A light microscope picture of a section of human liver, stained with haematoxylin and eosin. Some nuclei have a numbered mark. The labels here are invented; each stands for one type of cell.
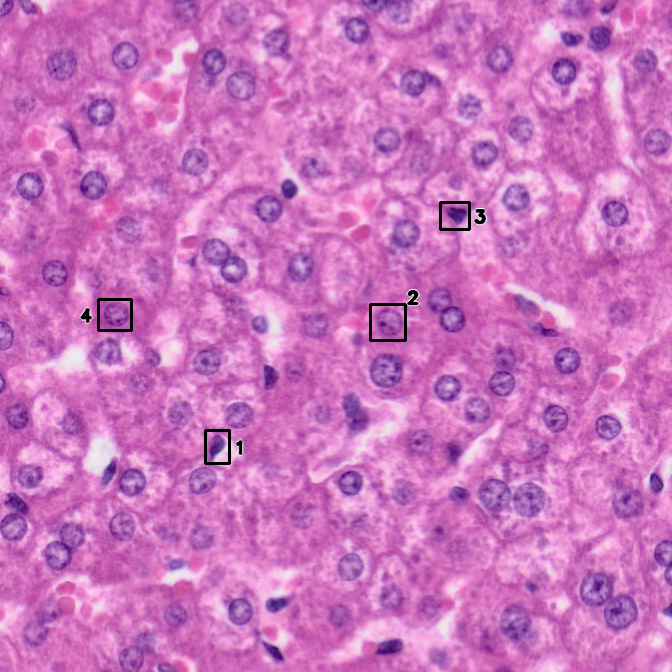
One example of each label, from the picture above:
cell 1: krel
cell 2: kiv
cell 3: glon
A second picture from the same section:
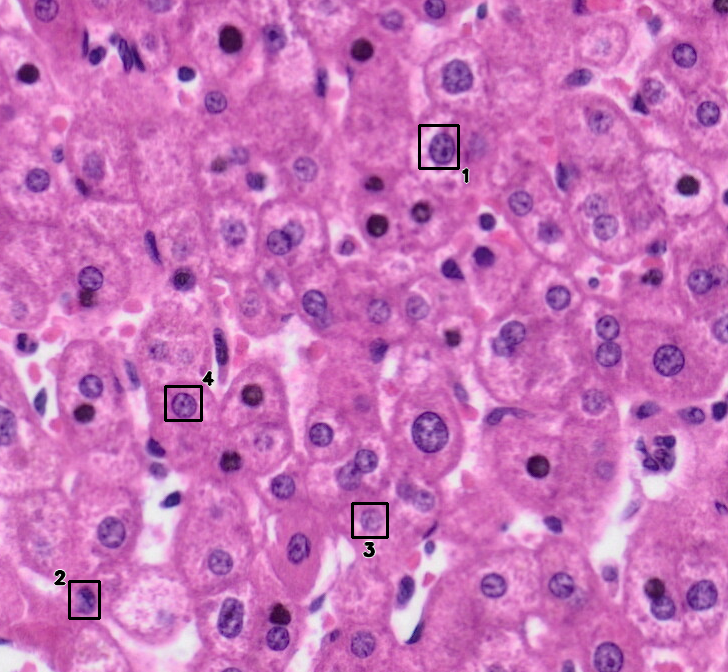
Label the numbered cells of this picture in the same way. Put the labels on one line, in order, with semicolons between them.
kiv; glon; kiv; kiv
